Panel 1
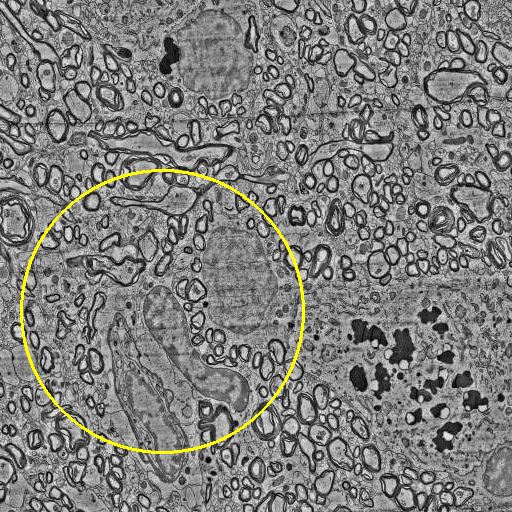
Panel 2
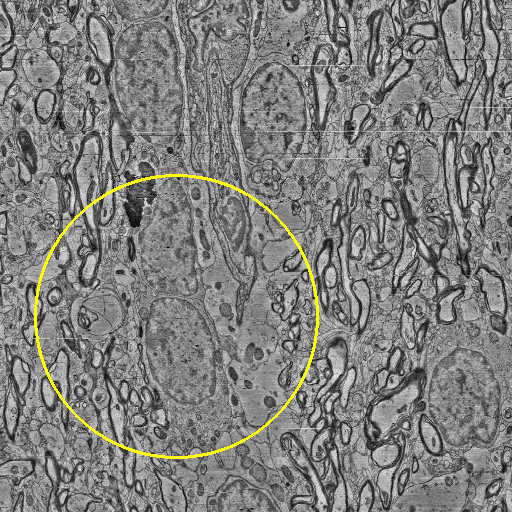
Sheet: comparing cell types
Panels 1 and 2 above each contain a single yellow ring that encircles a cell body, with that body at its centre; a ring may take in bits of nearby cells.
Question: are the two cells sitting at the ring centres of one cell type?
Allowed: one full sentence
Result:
No, the ring-centre cells in Panel 1 and Panel 2 are of two types.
